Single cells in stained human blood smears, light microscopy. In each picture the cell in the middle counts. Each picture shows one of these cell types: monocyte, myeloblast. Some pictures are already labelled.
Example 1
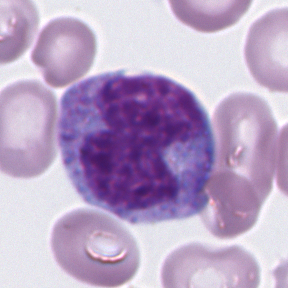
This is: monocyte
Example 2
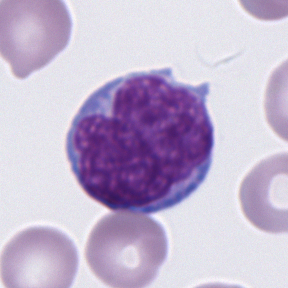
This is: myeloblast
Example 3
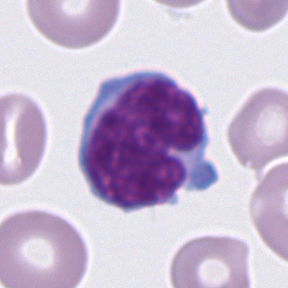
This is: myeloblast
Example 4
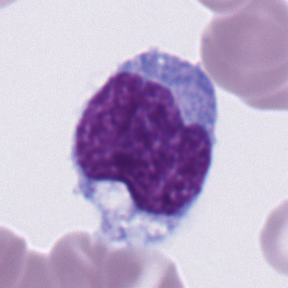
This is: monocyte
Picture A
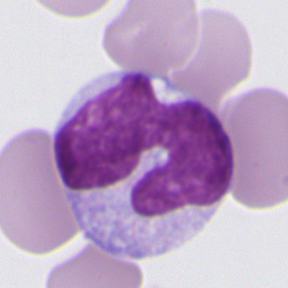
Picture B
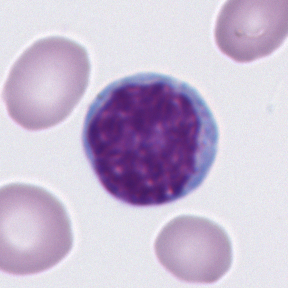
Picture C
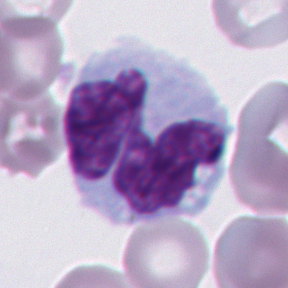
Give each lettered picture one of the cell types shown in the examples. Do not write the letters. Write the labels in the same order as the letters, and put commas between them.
monocyte, myeloblast, monocyte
